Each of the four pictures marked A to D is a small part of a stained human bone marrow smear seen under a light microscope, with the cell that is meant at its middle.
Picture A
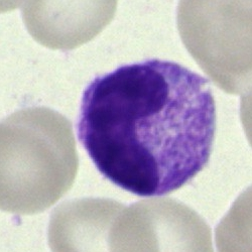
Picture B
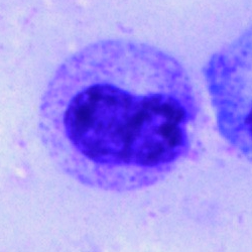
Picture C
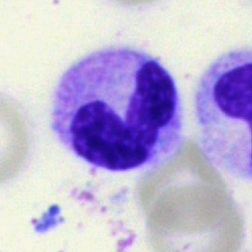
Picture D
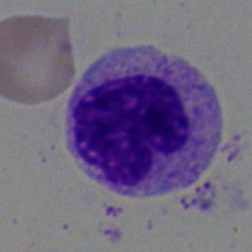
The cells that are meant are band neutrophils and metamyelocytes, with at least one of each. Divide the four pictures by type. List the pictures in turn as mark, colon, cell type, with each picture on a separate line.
A: band neutrophil
B: metamyelocyte
C: band neutrophil
D: metamyelocyte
